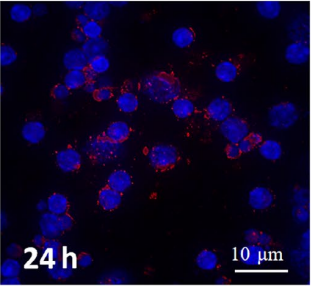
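Small red dots and granules sit along the rims of many of the cells, clustered around the nuclei and along the cell outlines. Some cells carry many red granules while others have few or none.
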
